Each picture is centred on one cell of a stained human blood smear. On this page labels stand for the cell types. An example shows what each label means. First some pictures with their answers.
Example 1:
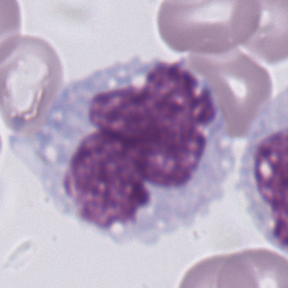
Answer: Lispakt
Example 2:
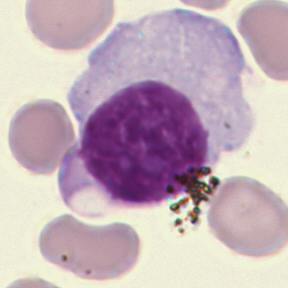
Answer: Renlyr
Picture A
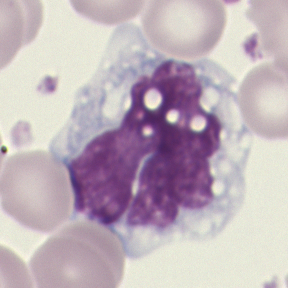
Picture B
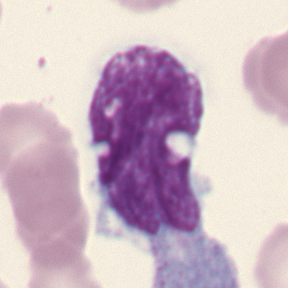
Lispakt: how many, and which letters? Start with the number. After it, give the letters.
2, namely A, B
